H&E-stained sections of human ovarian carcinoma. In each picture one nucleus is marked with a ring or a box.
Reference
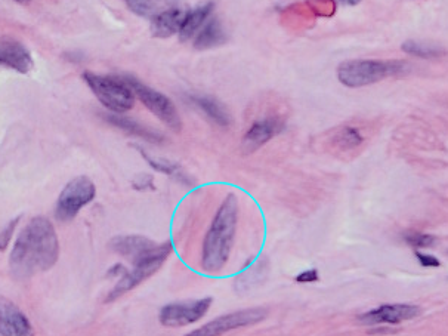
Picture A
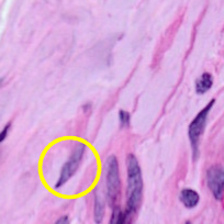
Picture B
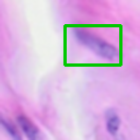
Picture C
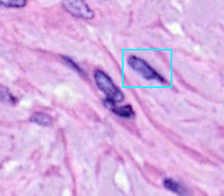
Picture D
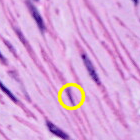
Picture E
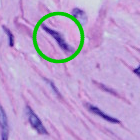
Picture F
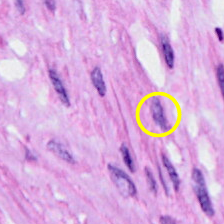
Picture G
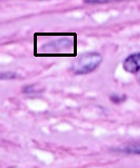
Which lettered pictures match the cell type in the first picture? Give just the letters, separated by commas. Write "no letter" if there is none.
A, B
